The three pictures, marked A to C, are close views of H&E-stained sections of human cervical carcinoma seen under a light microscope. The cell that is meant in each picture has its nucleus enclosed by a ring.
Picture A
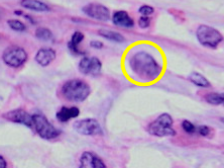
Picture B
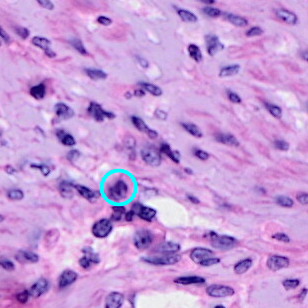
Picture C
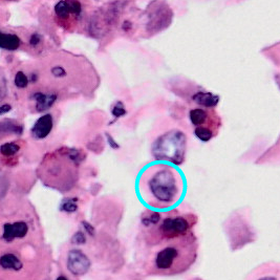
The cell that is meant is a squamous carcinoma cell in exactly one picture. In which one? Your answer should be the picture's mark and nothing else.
C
